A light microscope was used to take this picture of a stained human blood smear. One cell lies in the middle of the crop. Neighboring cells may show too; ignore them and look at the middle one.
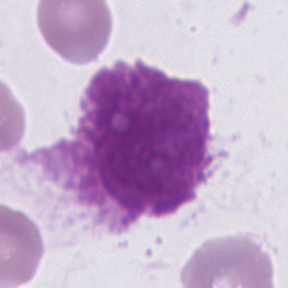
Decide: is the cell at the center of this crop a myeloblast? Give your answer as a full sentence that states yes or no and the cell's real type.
No, a myeloblast is not what the central cell is; it is a smudge cell.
